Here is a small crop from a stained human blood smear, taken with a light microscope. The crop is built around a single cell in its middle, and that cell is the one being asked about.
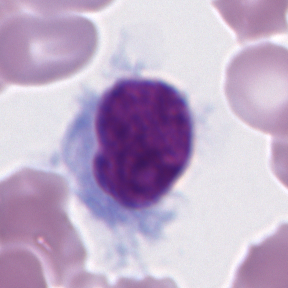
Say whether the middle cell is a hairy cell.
yes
